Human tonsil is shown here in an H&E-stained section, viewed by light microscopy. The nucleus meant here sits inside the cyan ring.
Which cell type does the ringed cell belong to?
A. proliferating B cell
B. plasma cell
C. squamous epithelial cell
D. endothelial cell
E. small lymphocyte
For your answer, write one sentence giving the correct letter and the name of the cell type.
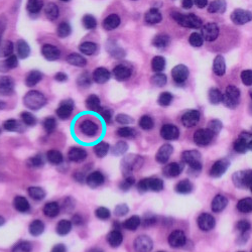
Looking at the options, pick B; the ringed cell is a plasma cell.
